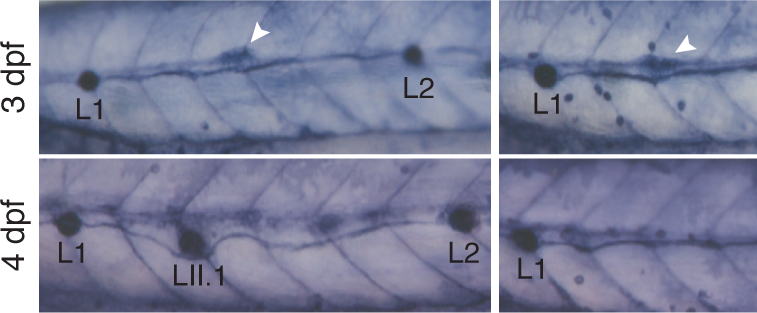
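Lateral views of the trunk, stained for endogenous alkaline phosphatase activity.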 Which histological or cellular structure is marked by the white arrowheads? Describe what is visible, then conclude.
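Migrating secondary primordium. A small, loose, darker cluster sits on the horizontal dark line between two large round dark spots. It is smaller and less compact than the round dark spots.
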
